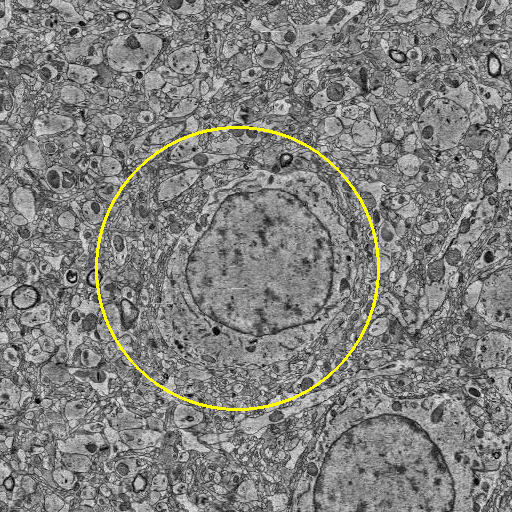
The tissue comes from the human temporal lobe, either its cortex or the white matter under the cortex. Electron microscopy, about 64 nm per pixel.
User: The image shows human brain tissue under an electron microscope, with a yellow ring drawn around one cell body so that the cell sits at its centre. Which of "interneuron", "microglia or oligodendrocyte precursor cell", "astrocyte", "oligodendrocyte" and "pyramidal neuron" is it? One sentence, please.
At the centre of the ring sits a pyramidal neuron.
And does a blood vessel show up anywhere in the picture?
No, no blood vessel shows in the picture.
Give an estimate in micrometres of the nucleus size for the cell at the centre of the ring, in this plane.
Approximately 10 micrometers across in this plane.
